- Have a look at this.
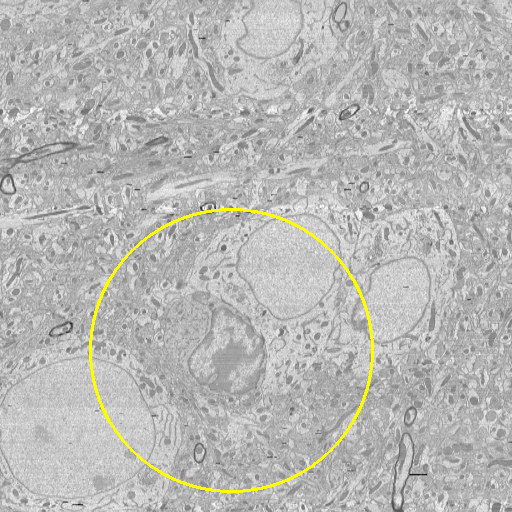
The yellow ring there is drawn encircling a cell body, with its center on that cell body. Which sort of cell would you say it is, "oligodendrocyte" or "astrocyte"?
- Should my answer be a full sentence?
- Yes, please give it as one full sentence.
For this picture, an oligodendrocyte is the cell where the yellow ring has its center.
